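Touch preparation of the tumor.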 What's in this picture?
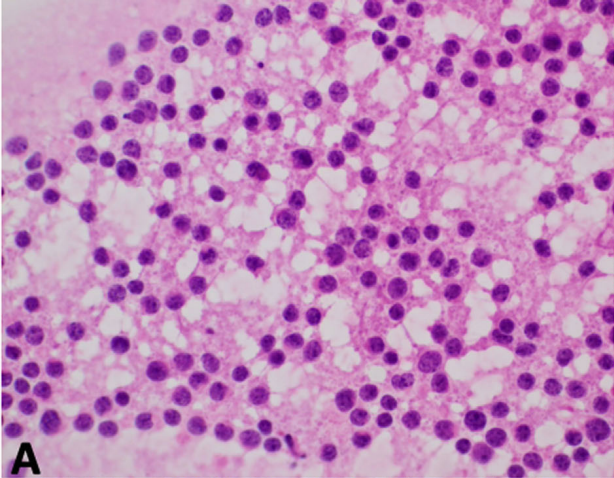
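The cells are fairly uniform in size and lie singly or in loose groups. The background consists of pale pink, bubbly, vacuolated material.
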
